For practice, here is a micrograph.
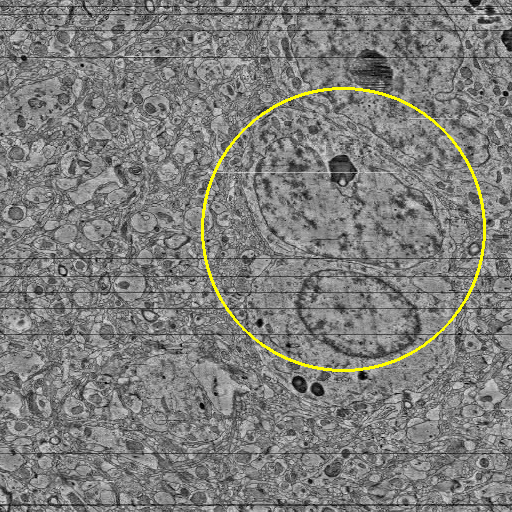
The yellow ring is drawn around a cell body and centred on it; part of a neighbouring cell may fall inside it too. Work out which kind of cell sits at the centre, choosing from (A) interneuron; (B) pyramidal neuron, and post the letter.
A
